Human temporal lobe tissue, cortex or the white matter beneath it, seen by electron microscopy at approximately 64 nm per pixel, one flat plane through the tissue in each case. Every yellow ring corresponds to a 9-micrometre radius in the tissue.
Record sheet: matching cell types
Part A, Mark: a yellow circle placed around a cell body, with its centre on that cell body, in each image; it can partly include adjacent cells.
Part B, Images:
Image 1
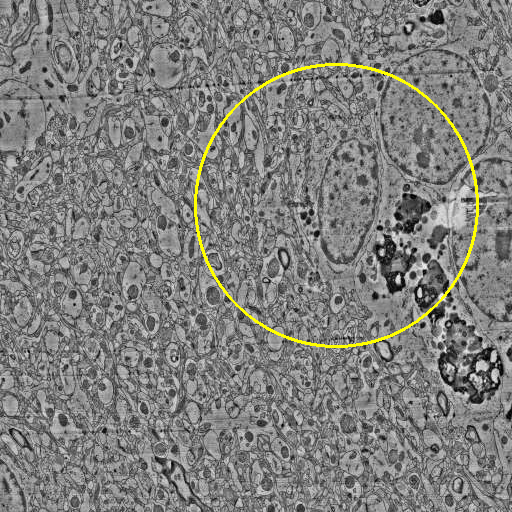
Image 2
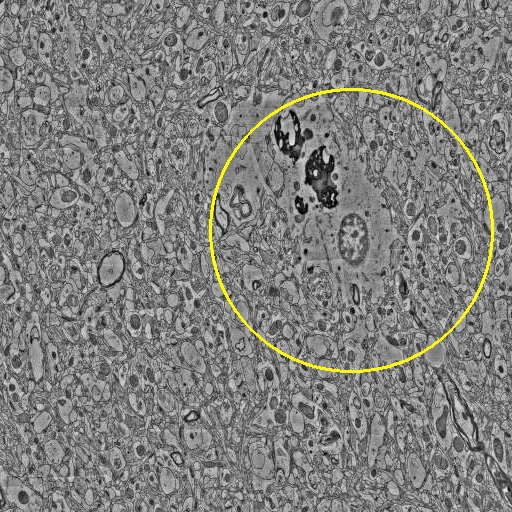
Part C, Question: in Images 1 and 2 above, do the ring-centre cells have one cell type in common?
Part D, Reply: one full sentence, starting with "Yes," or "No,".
Yes, the ring-centre cells of Image 1 and Image 2 are both of a single cell type.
